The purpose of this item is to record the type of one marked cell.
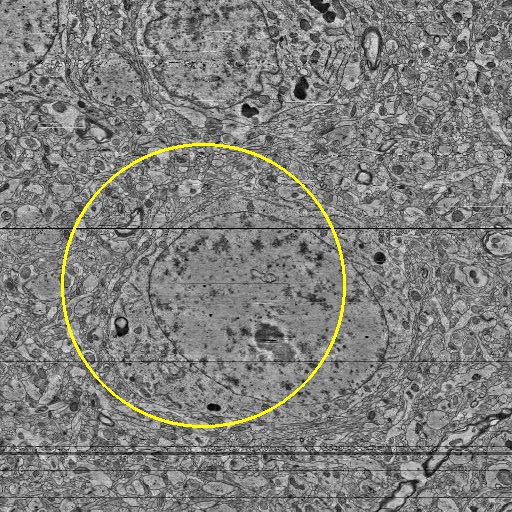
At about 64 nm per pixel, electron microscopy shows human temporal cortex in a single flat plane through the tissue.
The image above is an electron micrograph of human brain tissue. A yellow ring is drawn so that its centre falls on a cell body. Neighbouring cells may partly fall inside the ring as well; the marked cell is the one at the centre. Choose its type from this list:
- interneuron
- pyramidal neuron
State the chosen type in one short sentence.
What the ring marks here is a pyramidal neuron.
